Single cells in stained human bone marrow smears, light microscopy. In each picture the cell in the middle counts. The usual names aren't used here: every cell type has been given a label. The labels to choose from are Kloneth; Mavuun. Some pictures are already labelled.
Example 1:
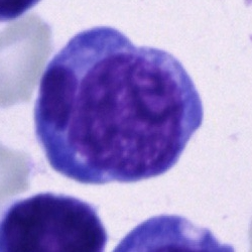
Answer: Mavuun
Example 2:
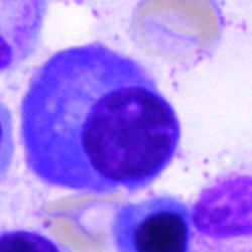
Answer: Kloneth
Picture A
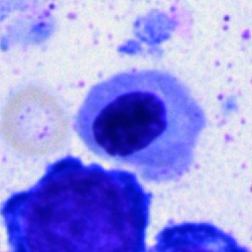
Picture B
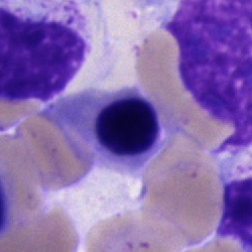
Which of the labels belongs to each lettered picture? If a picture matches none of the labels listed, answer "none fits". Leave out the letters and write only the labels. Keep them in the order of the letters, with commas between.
none fits, none fits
